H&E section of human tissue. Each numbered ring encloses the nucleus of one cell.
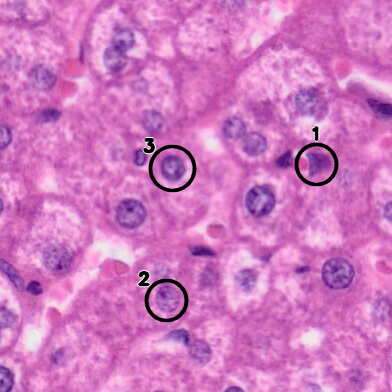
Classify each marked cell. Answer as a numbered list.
1. endothelial cell
2. hepatocyte
3. hepatocyte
